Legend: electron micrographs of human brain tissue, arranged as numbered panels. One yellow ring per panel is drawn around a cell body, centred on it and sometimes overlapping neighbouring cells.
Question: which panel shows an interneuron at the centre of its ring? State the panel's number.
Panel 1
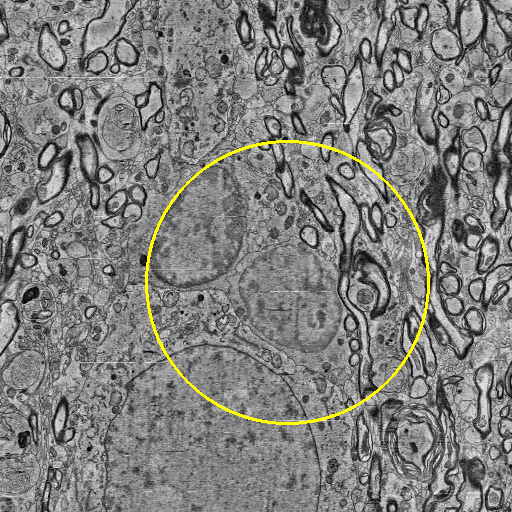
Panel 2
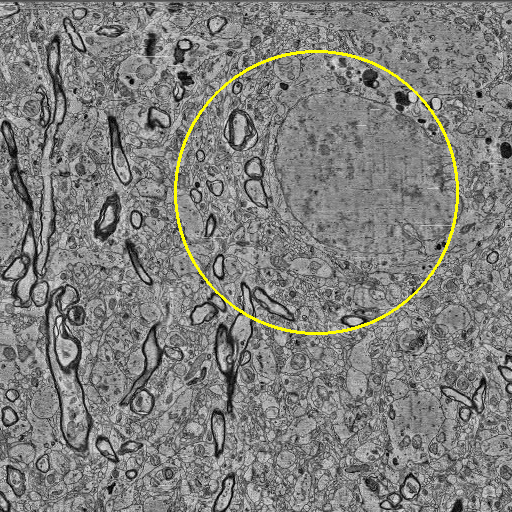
2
